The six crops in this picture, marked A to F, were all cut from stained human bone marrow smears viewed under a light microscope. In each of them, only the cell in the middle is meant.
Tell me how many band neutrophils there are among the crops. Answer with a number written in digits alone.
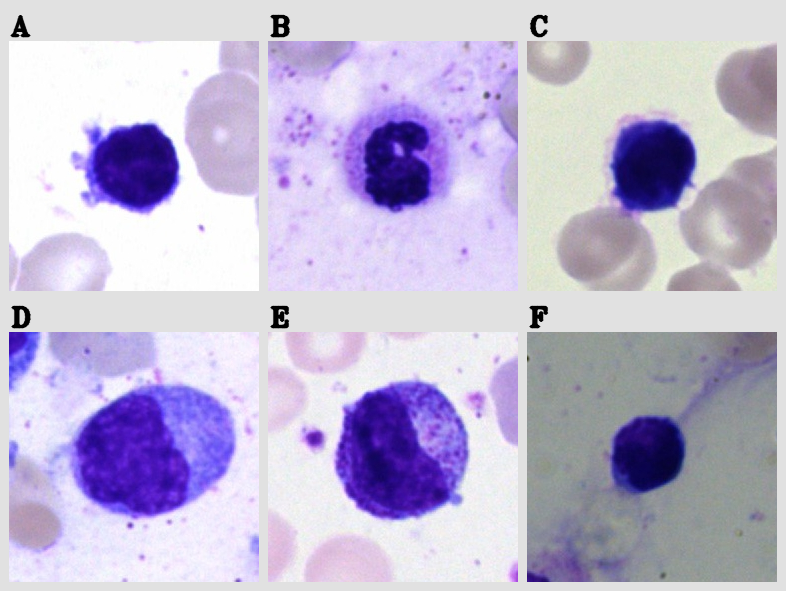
0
